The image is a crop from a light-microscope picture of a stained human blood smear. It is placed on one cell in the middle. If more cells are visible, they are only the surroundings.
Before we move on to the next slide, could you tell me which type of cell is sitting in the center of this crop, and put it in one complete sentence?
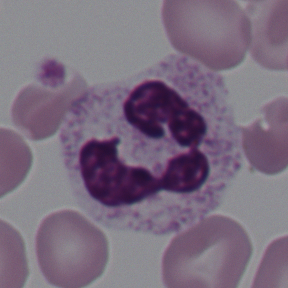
Looking at the middle of the crop, the cell there is a segmented neutrophil.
